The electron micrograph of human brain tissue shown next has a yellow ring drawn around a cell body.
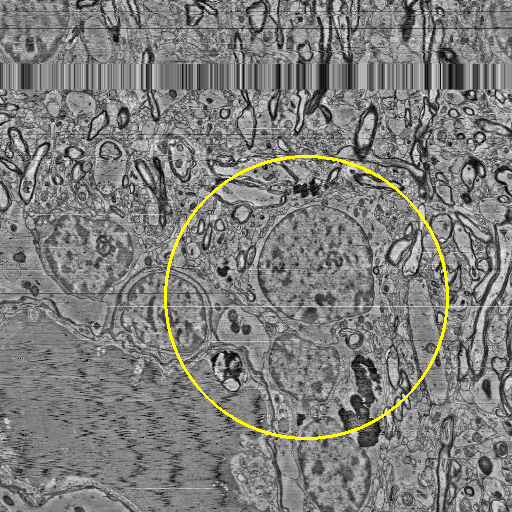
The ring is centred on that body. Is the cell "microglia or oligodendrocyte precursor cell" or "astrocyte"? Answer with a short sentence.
The cell in question is a microglial cell or oligodendrocyte precursor cell.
